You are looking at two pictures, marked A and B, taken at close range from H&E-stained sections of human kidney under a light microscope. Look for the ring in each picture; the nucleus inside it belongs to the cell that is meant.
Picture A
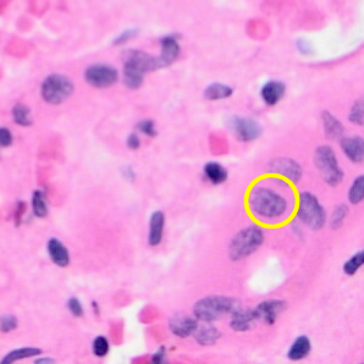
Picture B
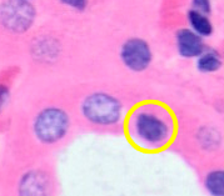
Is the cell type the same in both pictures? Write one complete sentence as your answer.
No, they differ: the cell is a collecting duct cell in picture A and a “loop of Henle or distal tubule cell” in picture B.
